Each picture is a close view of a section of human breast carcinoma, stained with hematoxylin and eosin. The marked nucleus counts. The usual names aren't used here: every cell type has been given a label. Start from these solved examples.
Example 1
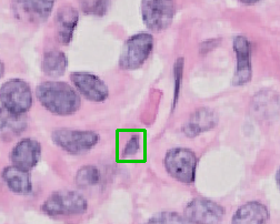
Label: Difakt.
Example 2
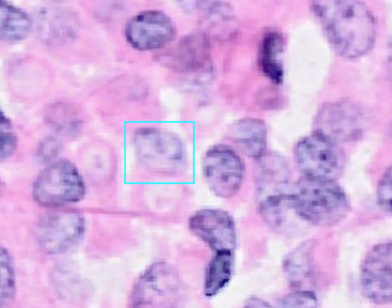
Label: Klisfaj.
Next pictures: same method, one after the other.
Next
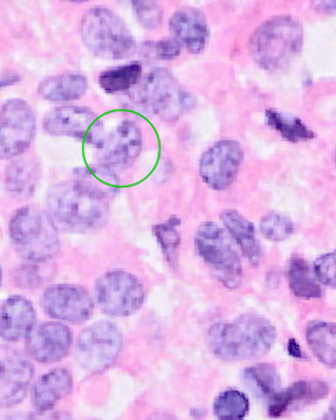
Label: Klisfaj.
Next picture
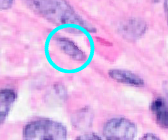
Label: Difakt.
